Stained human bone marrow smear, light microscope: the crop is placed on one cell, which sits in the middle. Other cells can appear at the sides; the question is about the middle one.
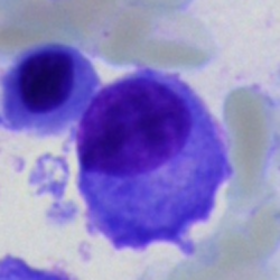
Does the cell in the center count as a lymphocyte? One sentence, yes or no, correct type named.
No, the middle cell is not a lymphocyte, it being a plasma cell.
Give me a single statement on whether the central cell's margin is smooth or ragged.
The contour of the cell is interrupted by ragged areas or by projections.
